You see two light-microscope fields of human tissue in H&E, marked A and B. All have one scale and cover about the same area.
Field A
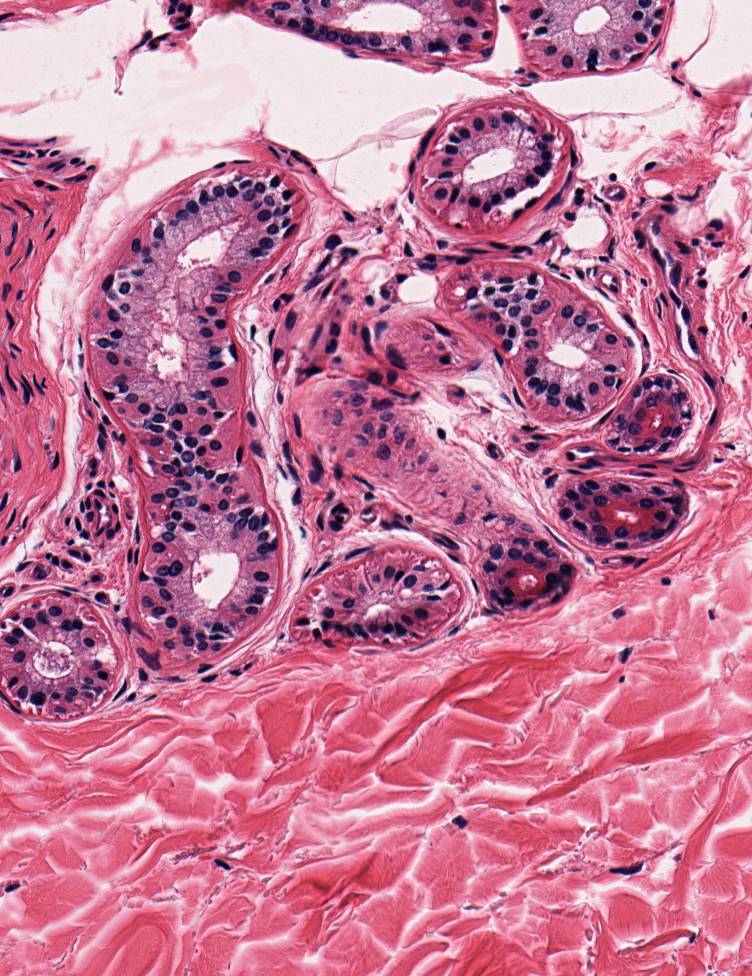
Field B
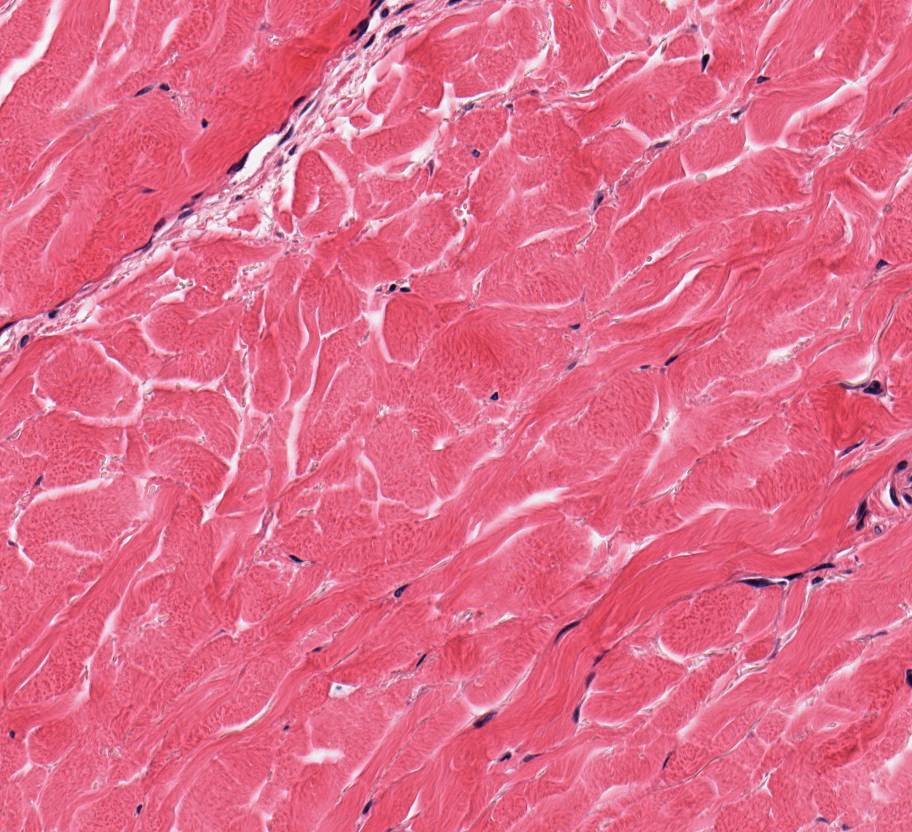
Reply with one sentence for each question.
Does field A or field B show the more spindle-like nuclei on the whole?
On the whole the nuclei of field B are more drawn out than those of field A.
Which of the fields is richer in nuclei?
Field A holds more nuclei than field B.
